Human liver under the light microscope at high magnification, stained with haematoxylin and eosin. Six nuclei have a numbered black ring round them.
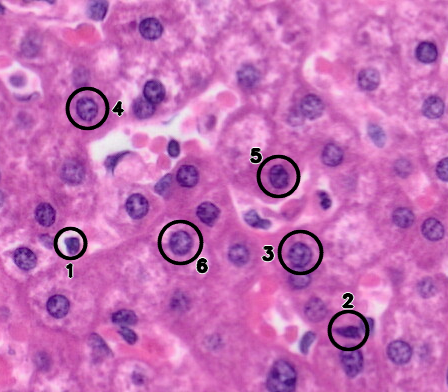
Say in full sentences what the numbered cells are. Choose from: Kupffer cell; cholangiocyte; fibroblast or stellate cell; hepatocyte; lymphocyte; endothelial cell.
Cell 1 is a lymphocyte, cell 2 is a fibroblast or stellate cell, cell 3 is a hepatocyte, cell 4 is a hepatocyte, cell 5 is a hepatocyte and cell 6 is a hepatocyte.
